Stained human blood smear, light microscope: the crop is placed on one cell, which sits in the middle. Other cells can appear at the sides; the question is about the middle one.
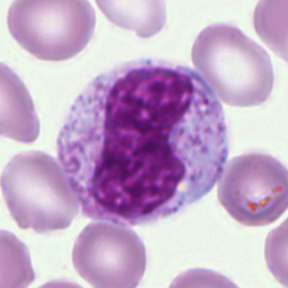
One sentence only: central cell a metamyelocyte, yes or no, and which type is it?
Yes, the cell at the midpoint of the crop is a metamyelocyte.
